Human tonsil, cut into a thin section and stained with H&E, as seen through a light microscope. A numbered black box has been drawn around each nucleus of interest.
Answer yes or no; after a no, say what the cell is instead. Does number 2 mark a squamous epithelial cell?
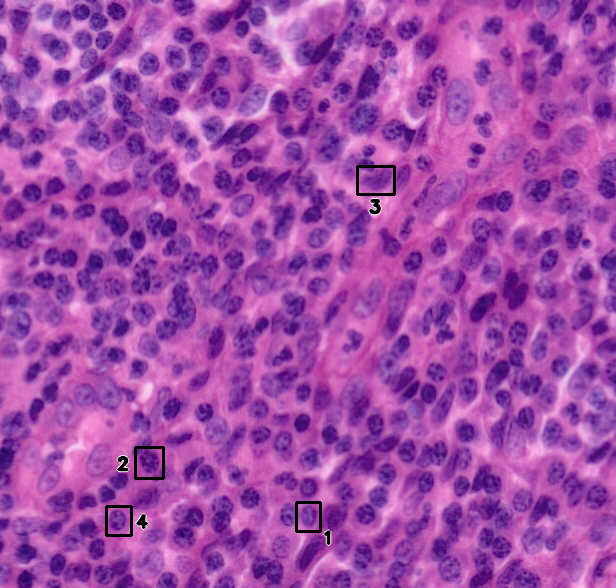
No, it is a plasma cell.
